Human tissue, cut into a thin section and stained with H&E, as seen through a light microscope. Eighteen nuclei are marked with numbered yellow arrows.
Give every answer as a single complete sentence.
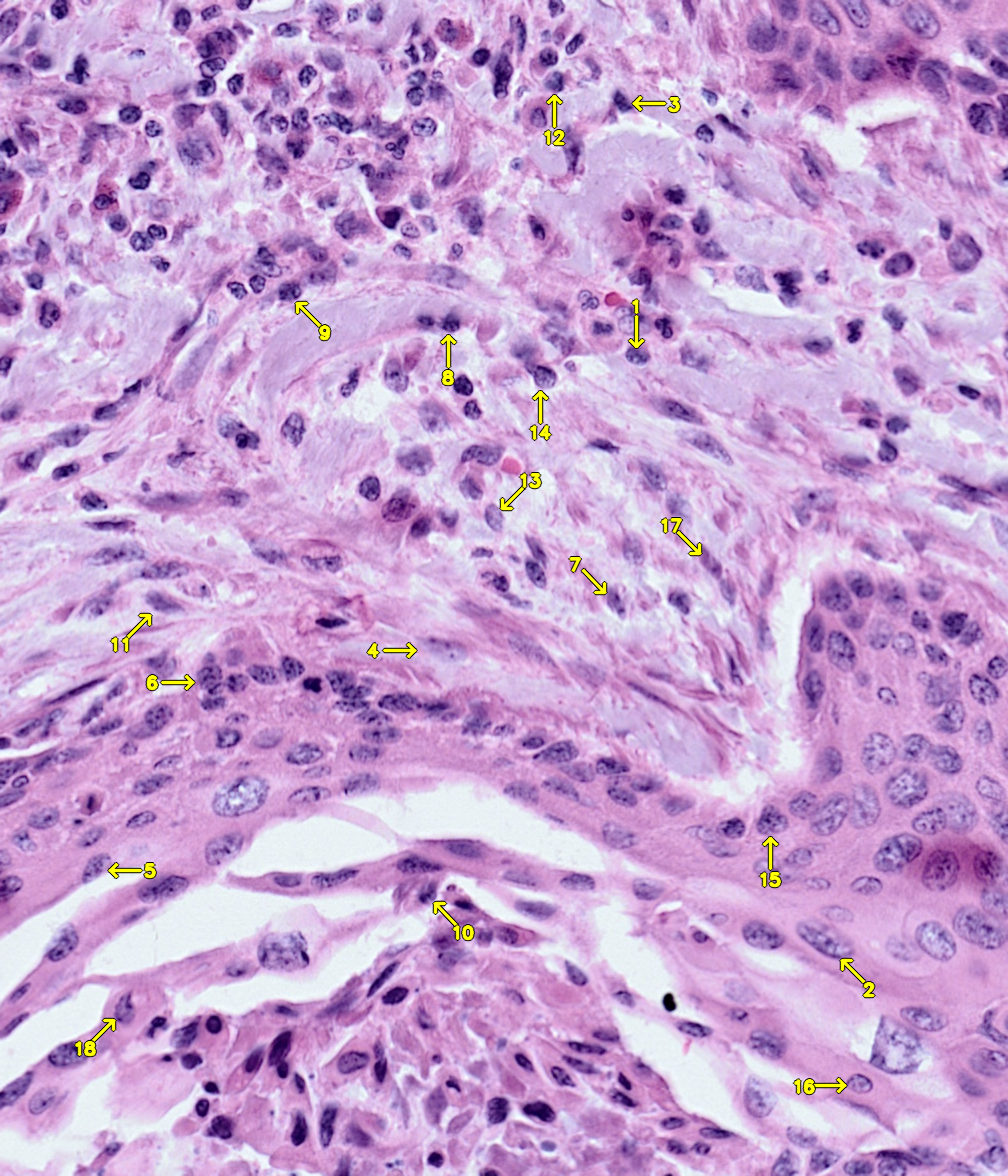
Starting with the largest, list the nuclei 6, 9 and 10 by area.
The nuclei rank 6, 9, 10, from largest to smallest.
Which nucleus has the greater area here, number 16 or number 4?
Nucleus 4 is the larger one, covering about 2.5 times the area of nucleus 16.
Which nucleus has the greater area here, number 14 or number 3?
Nucleus 14 covers more area, about 1.5 times as much as nucleus 3.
